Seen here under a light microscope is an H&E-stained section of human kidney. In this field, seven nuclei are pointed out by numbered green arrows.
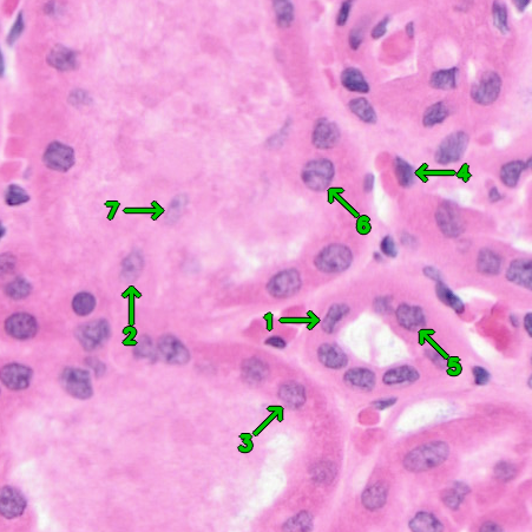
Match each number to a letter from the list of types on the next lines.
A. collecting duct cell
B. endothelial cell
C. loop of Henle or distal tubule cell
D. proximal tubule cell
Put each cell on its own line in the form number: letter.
1: A
2: D
3: D
4: B
5: A
6: D
7: D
